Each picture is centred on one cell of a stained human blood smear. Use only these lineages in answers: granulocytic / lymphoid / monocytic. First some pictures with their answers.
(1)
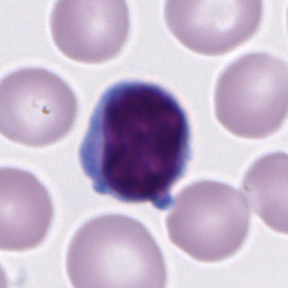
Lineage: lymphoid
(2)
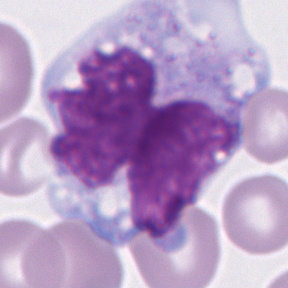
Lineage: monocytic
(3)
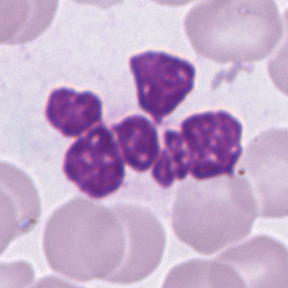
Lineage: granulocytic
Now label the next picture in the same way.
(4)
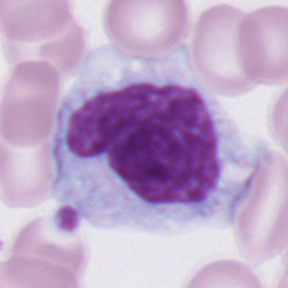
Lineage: monocytic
